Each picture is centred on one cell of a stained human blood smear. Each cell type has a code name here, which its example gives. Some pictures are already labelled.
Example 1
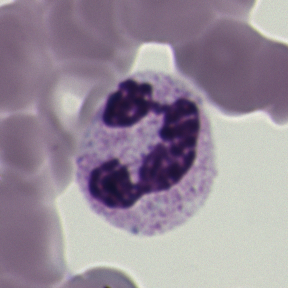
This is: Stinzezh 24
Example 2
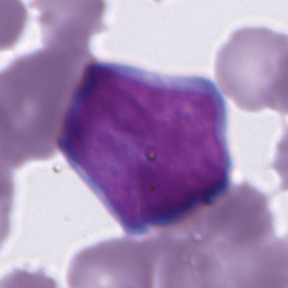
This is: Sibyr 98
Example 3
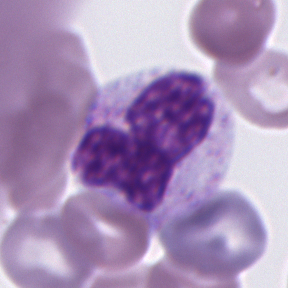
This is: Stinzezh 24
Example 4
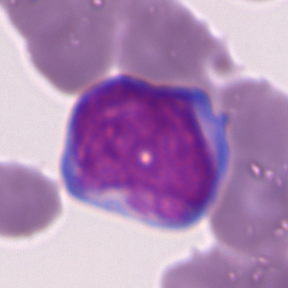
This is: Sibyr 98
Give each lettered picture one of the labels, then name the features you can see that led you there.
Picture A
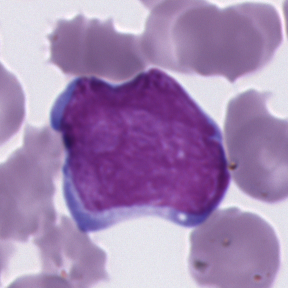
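Answer: Sibyr 98. The cytoplasm is blue.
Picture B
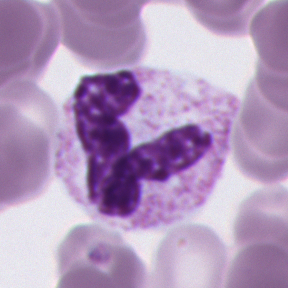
Answer: Stinzezh 24. The cytoplasm is plentiful and pale pinkish-lilac.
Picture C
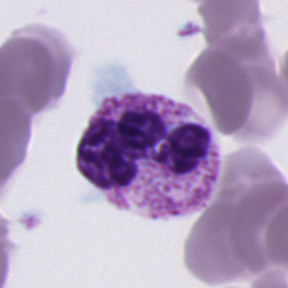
Answer: Stinzezh 24. The cytoplasm is pale pink rather than blue.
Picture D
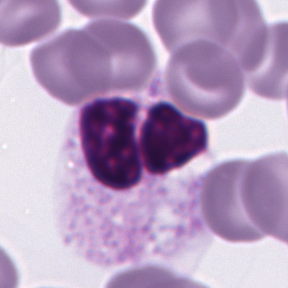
Answer: Stinzezh 24. The nucleus is divided into two lobes lying side by side.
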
